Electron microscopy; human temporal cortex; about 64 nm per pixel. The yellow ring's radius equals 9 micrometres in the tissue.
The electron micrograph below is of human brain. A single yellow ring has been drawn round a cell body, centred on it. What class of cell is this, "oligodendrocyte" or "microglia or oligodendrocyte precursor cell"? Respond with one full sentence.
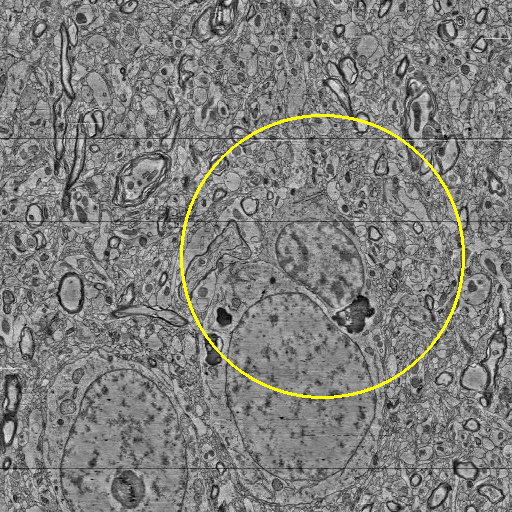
In the micrograph, the cell centred inside the yellow ring is an oligodendrocyte.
